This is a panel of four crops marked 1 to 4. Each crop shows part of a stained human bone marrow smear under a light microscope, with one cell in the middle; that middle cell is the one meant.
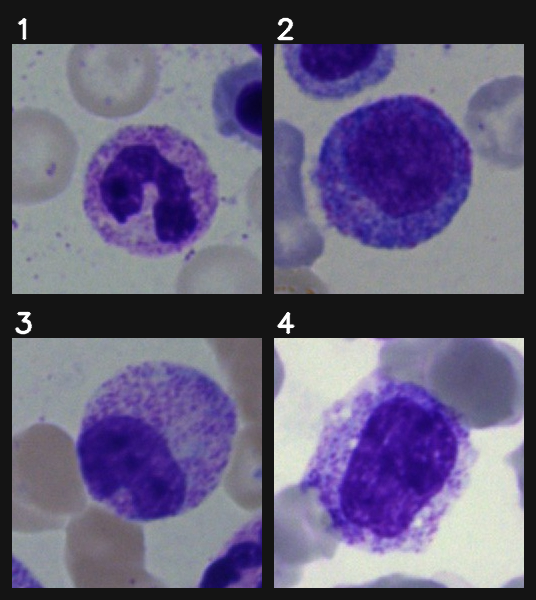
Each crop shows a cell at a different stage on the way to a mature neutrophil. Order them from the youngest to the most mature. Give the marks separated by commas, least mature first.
2, 4, 3, 1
